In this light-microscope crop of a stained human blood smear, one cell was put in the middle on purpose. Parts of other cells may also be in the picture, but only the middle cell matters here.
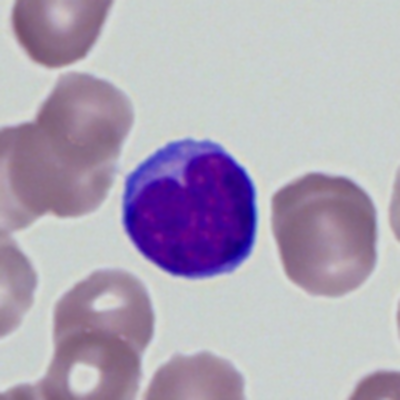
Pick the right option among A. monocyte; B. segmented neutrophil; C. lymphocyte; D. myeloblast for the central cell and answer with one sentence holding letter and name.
As the central cell is a lymphocyte, option C is correct.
